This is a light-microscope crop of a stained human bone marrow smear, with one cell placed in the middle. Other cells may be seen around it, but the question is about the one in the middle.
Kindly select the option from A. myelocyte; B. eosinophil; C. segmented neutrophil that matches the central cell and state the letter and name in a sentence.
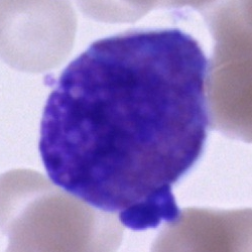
The central cell, an eosinophil, is correctly identified by option B.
